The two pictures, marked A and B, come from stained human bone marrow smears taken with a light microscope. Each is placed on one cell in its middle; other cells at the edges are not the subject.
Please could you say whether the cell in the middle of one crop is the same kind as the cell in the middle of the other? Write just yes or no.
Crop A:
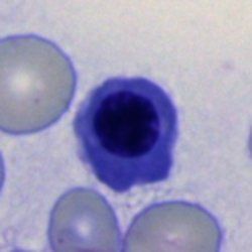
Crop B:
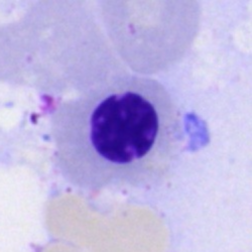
yes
